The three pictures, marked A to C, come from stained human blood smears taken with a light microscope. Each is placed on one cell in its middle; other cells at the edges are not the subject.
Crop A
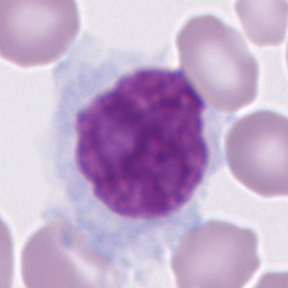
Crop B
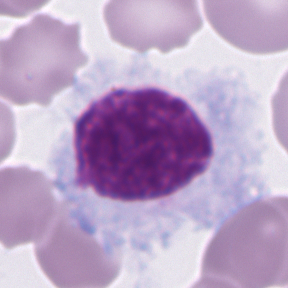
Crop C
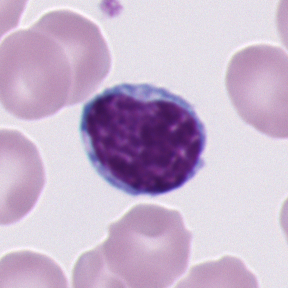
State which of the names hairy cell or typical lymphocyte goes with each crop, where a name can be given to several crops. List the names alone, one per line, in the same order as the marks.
hairy cell
hairy cell
typical lymphocyte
